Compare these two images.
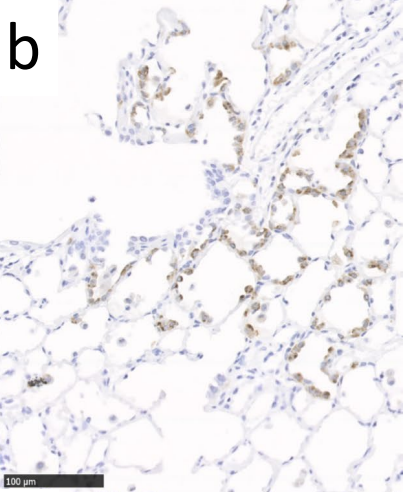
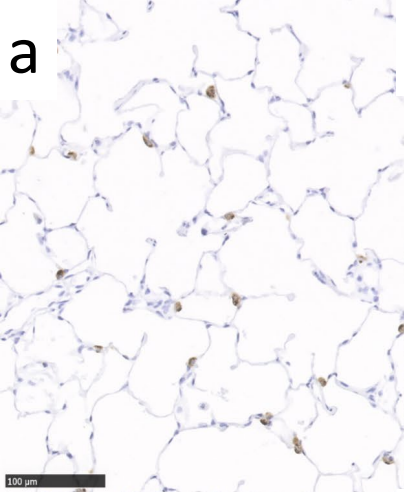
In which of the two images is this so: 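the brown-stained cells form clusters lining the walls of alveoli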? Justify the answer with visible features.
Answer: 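The first image. First image: brown cells crowd in rows and groups along alveolar walls. Second image: brown cells lie singly, spread evenly at alveolar corners.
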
